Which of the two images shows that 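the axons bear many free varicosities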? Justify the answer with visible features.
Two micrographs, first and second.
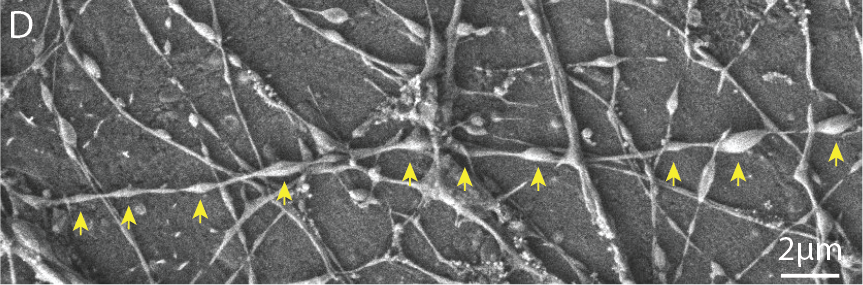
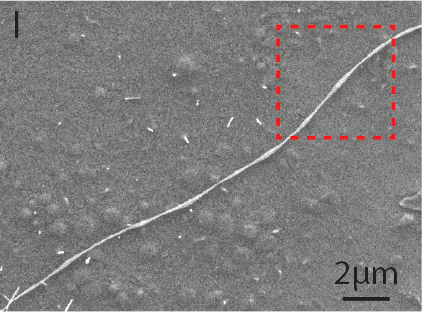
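The first image. First image: thin processes carry many spindle-shaped swellings along their length.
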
